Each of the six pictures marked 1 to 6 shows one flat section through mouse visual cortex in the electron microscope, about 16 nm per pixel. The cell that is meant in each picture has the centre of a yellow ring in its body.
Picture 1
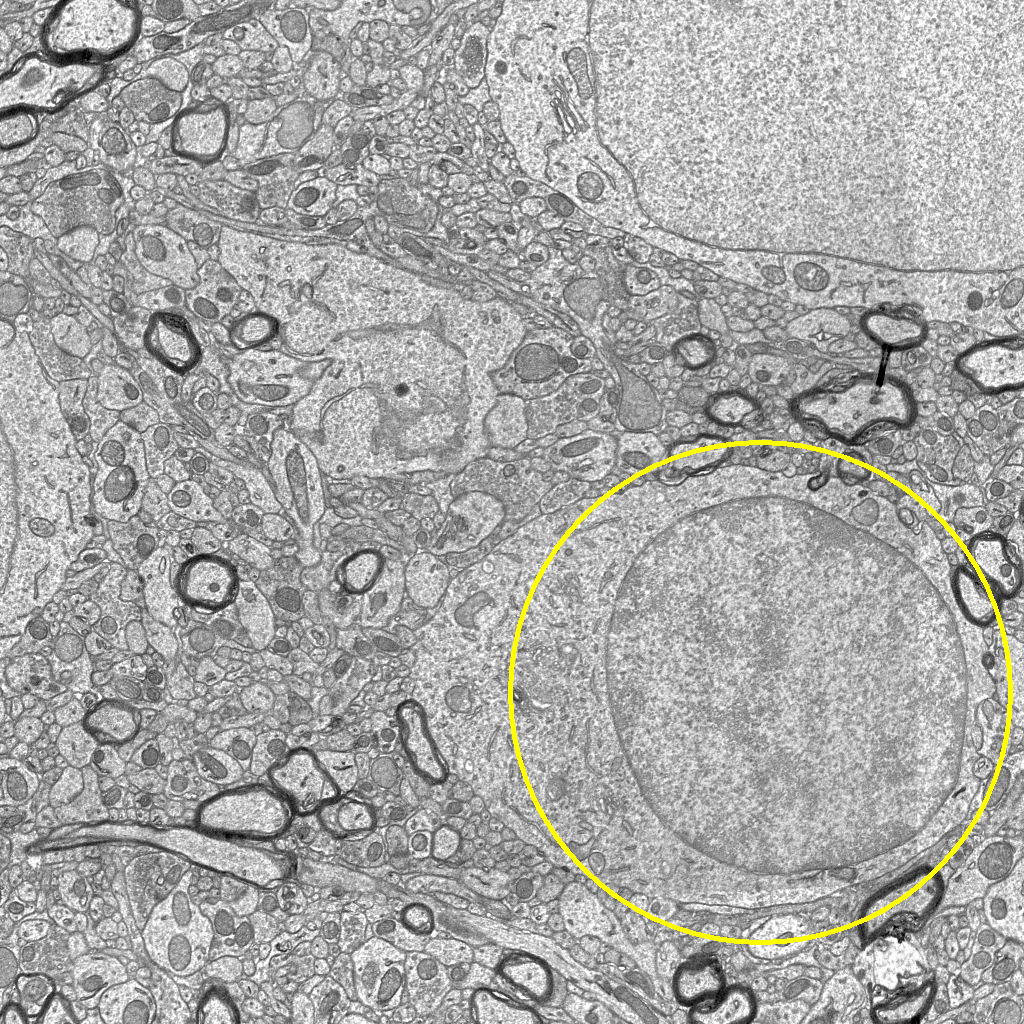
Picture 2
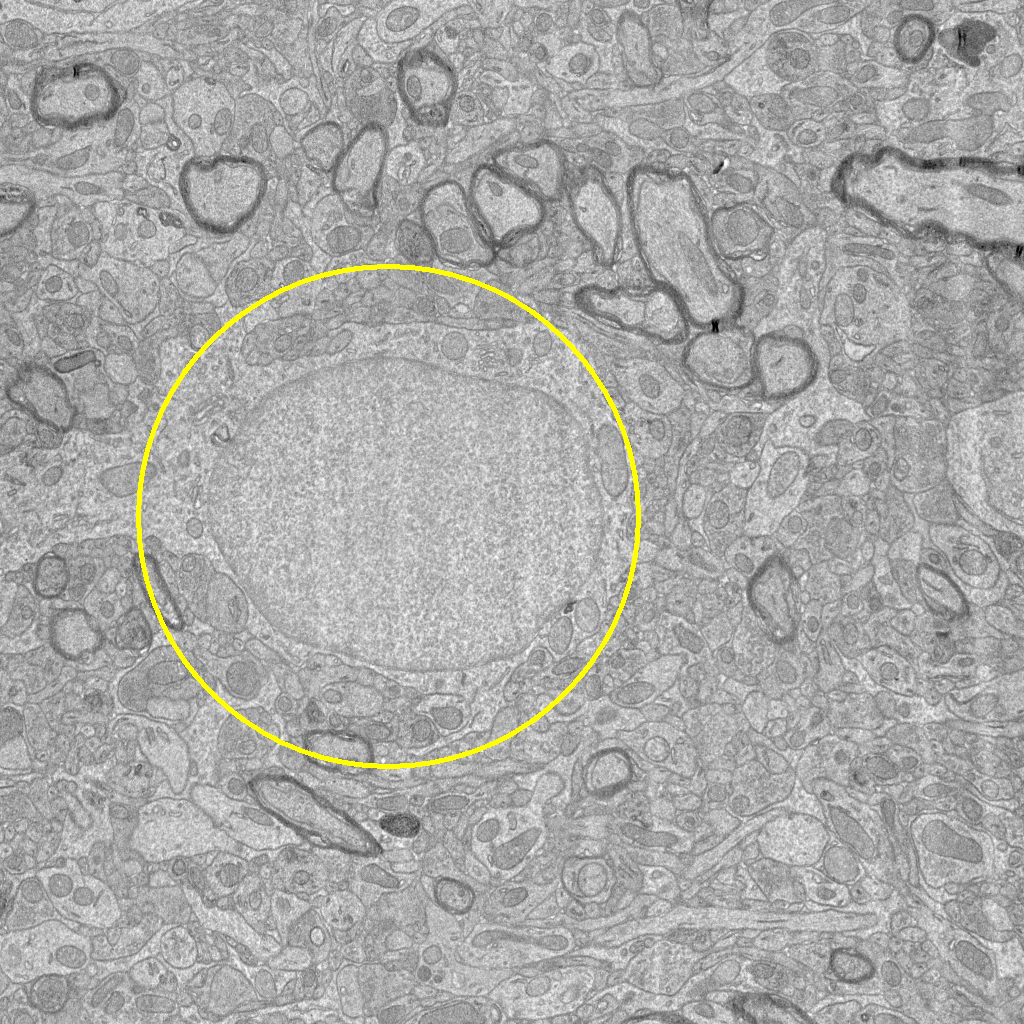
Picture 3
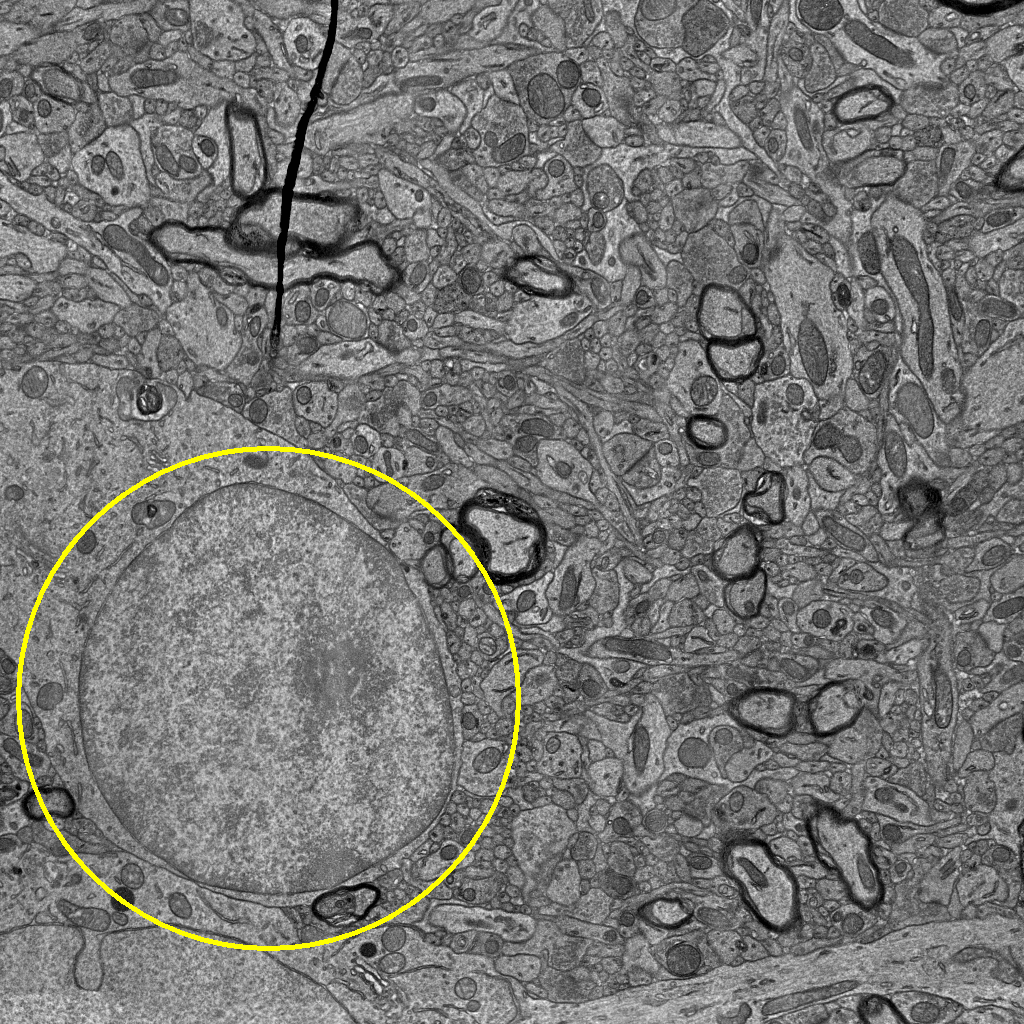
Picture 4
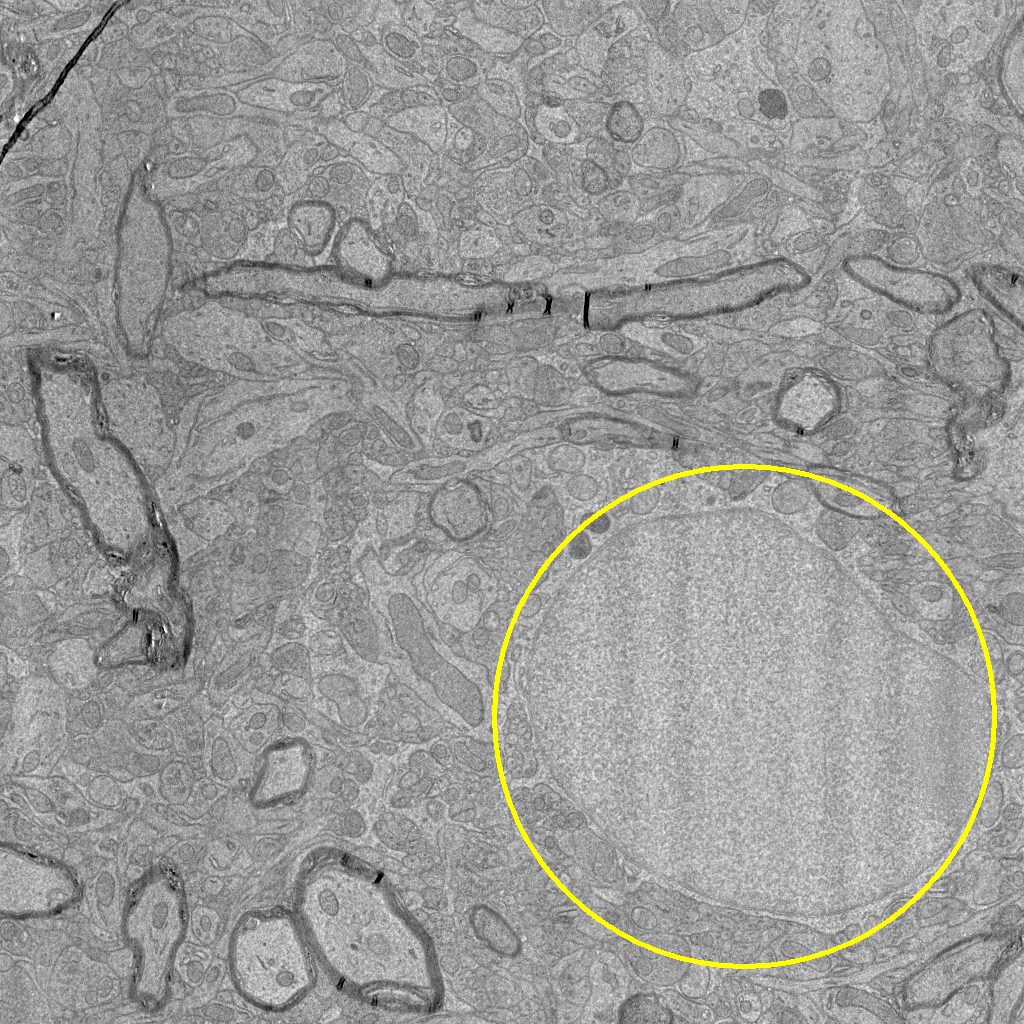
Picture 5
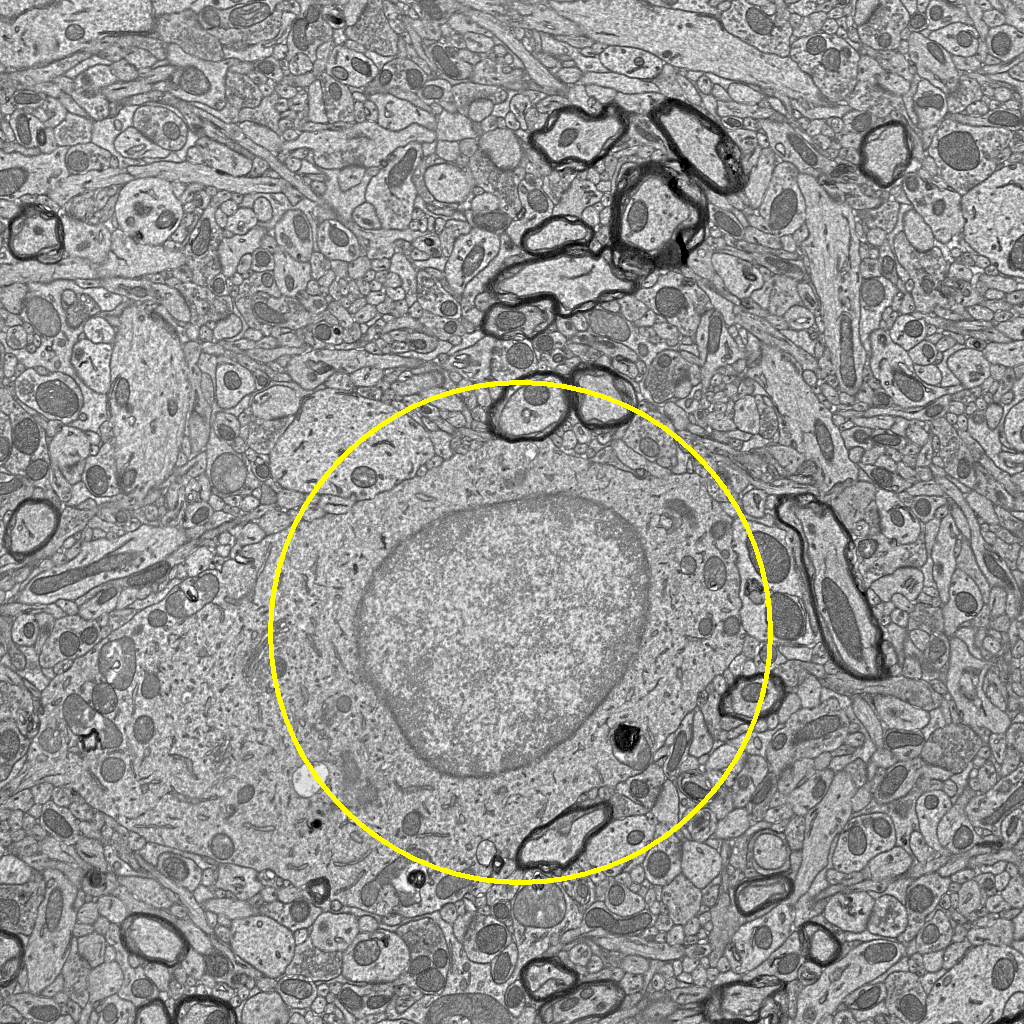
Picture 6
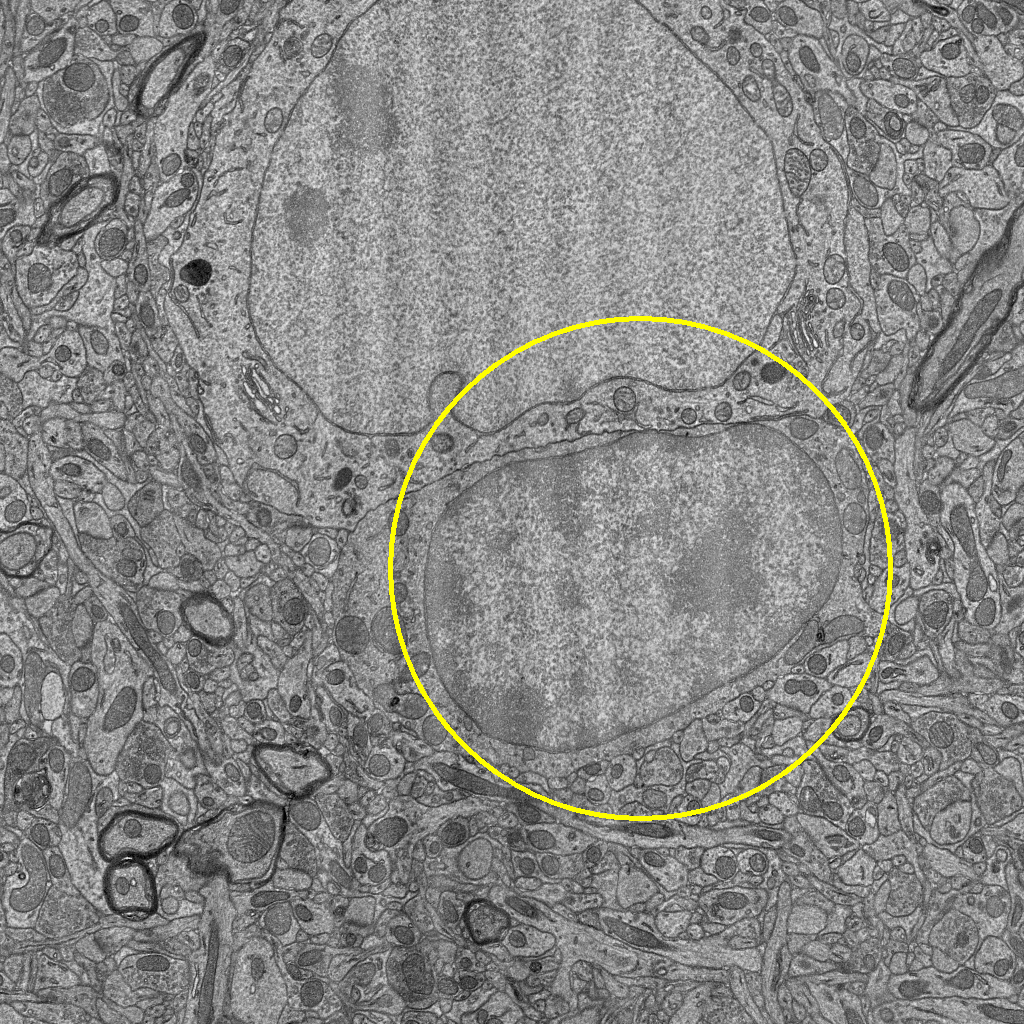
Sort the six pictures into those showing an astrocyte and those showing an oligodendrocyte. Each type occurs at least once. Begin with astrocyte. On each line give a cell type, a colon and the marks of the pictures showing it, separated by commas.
astrocyte: 2, 4
oligodendrocyte: 1, 3, 5, 6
